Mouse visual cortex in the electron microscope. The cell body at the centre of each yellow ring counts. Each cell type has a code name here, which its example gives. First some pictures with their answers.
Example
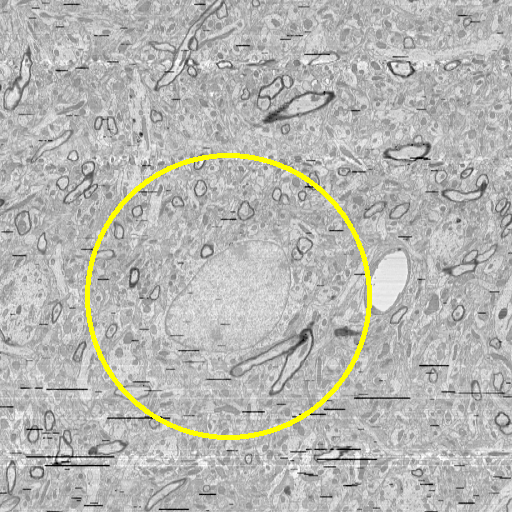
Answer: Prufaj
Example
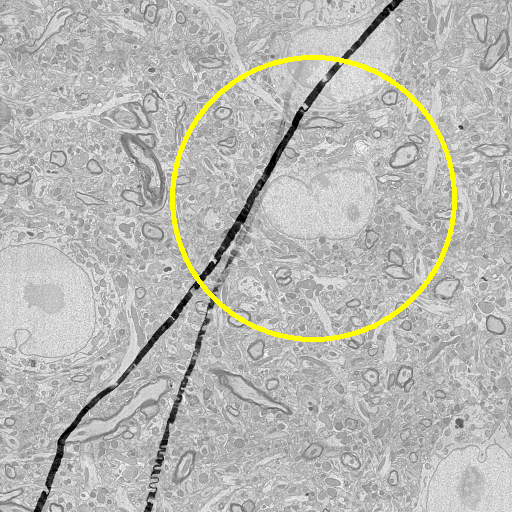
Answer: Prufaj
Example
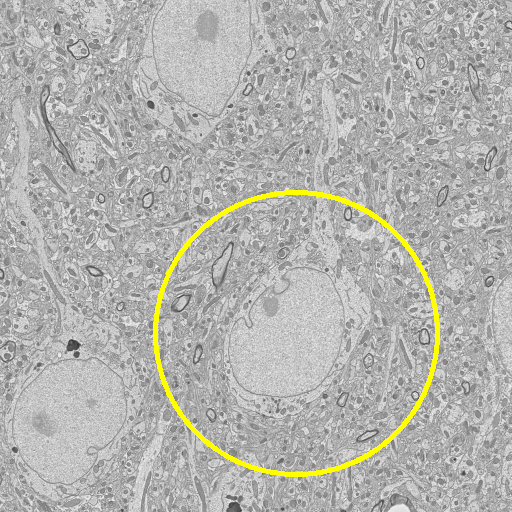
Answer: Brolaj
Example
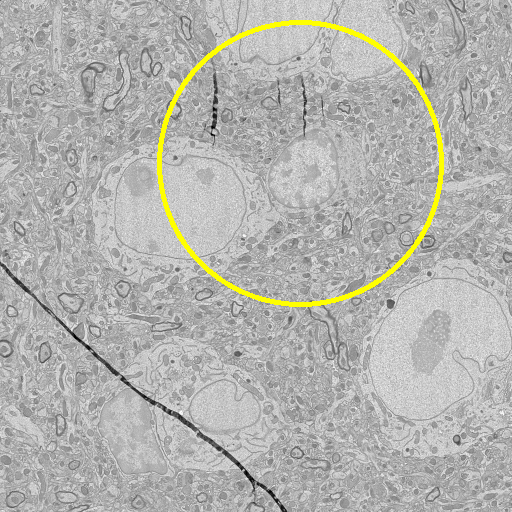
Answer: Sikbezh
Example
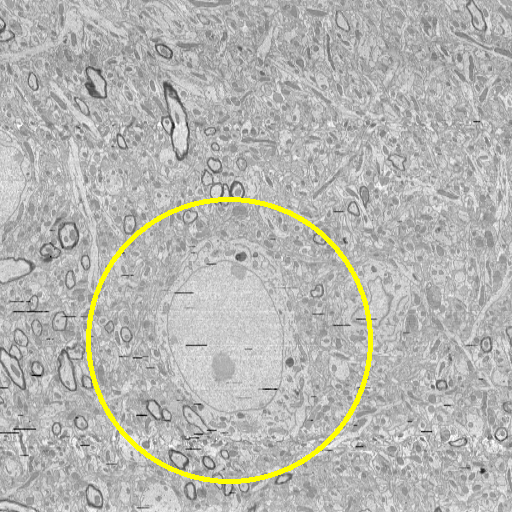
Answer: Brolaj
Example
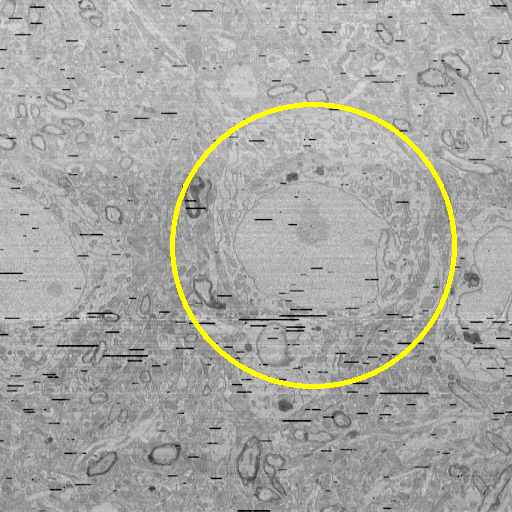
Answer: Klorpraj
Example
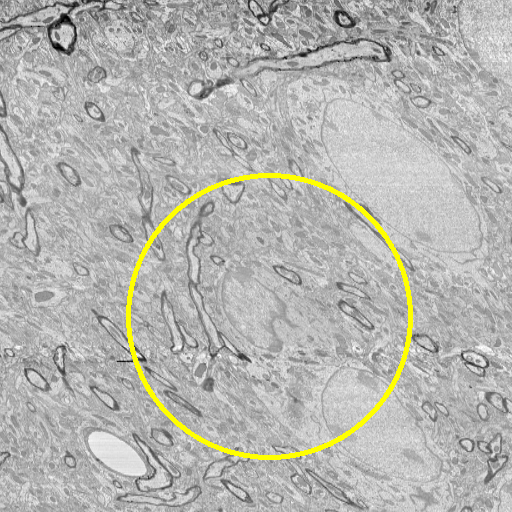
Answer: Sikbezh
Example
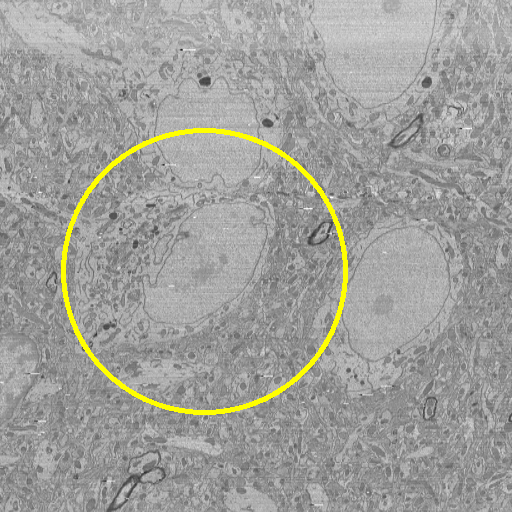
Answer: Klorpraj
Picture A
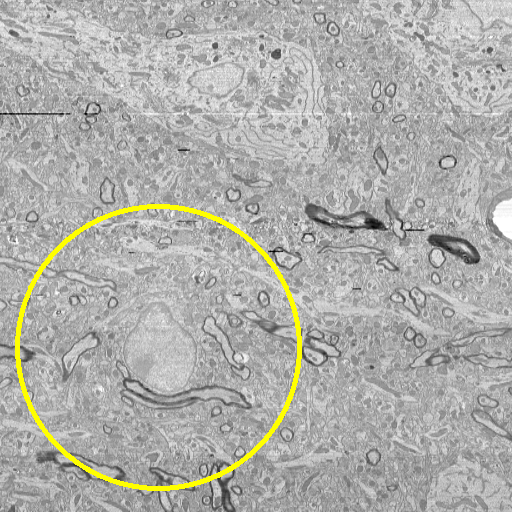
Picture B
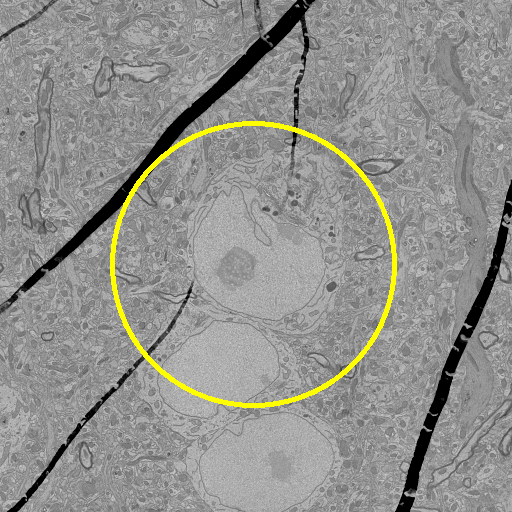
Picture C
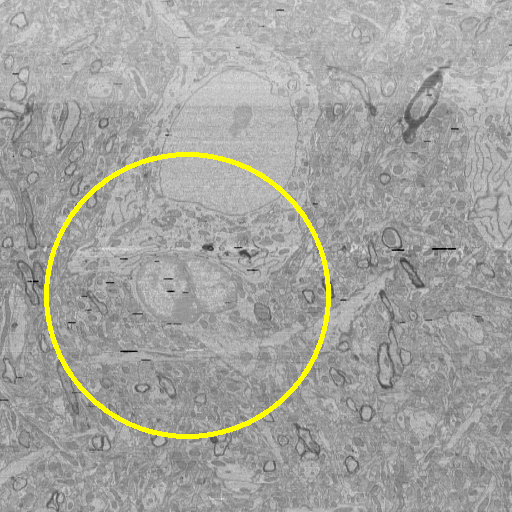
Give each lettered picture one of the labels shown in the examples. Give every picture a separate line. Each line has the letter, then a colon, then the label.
A: Prufaj
B: Klorpraj
C: Sikbezh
